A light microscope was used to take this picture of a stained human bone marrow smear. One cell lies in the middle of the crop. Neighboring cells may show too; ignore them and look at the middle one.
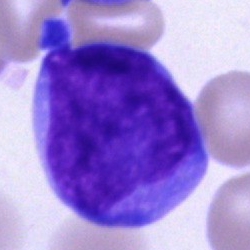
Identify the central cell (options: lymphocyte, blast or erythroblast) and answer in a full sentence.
Centred in the crop is a blast.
